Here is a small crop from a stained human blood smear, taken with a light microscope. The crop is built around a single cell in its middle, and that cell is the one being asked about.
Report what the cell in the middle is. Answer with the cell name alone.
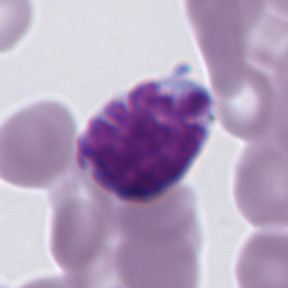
large granular lymphocyte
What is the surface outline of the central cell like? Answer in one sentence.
The edge is uneven, and this unevenness takes the form of ragged stretches or projections.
